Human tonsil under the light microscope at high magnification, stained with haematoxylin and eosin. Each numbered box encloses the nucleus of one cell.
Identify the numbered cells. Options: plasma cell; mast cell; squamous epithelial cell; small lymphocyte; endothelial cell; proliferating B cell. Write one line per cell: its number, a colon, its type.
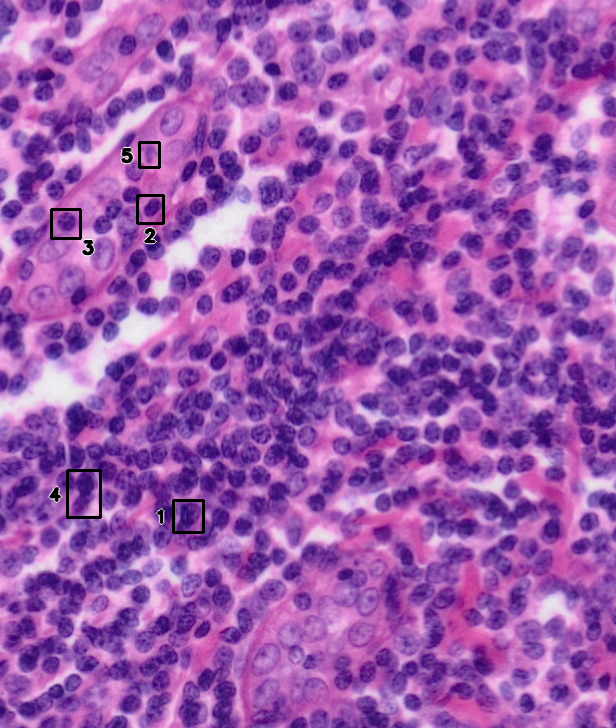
1: small lymphocyte
2: endothelial cell
3: endothelial cell
4: small lymphocyte
5: endothelial cell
